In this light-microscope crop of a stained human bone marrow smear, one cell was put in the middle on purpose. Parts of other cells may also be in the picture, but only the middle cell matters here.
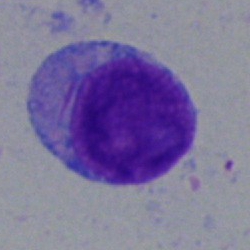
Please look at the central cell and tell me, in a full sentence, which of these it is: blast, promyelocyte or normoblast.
In short, the cell at the center is a blast.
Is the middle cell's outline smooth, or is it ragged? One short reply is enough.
Smooth outline, no projections: that is the whole story of its edge.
